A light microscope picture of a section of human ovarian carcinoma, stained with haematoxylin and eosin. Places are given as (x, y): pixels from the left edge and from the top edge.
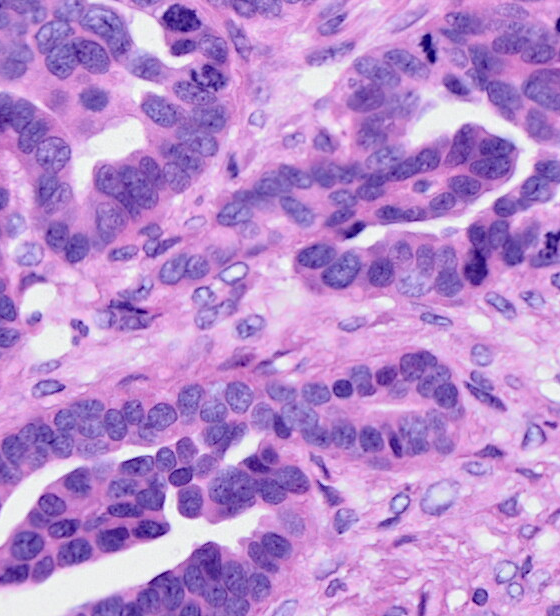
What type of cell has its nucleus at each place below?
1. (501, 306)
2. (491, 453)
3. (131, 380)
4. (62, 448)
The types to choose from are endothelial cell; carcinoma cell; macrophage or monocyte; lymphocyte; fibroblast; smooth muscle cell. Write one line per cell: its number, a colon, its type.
1: fibroblast
2: fibroblast
3: fibroblast
4: carcinoma cell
